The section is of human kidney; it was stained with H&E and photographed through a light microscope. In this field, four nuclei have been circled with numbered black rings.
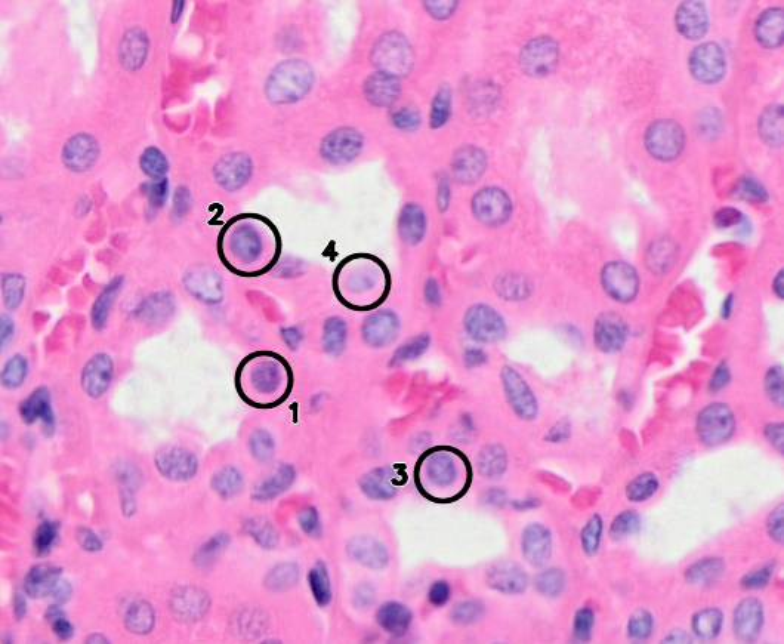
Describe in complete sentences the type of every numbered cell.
Cell 1 is a loop of Henle or distal tubule cell, cell 2 is a loop of Henle or distal tubule cell, cell 3 is a collecting duct cell and cell 4 is a loop of Henle or distal tubule cell.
